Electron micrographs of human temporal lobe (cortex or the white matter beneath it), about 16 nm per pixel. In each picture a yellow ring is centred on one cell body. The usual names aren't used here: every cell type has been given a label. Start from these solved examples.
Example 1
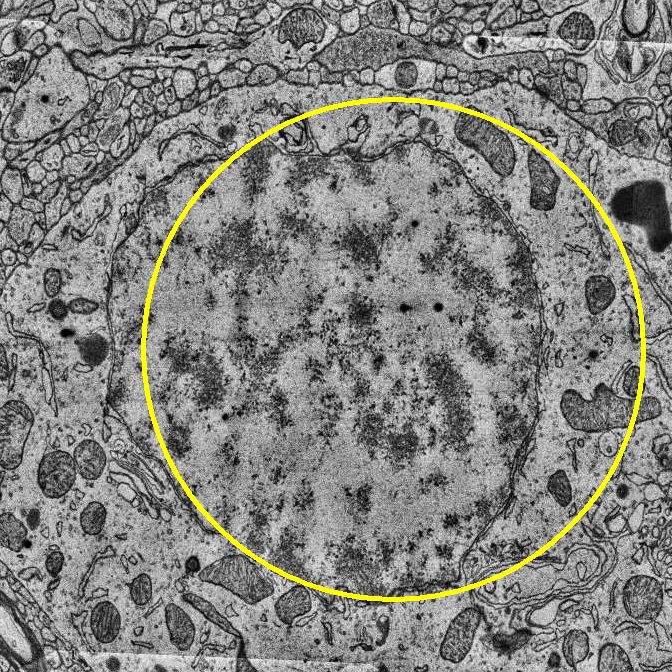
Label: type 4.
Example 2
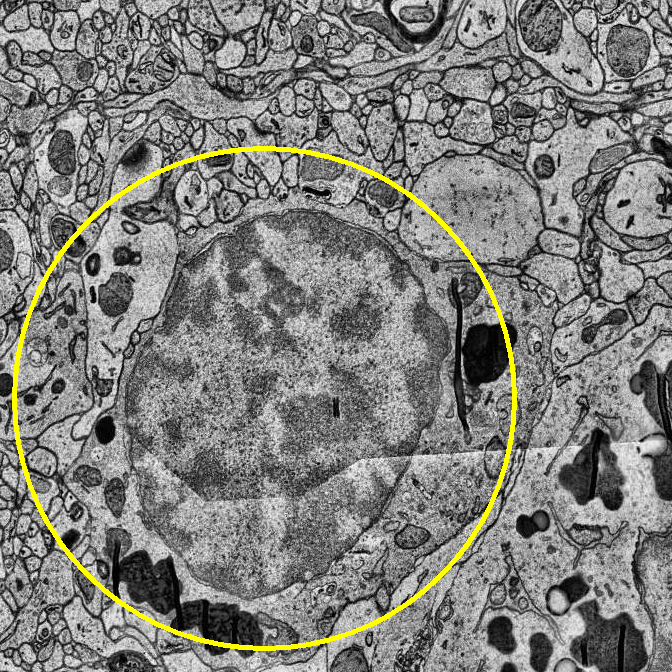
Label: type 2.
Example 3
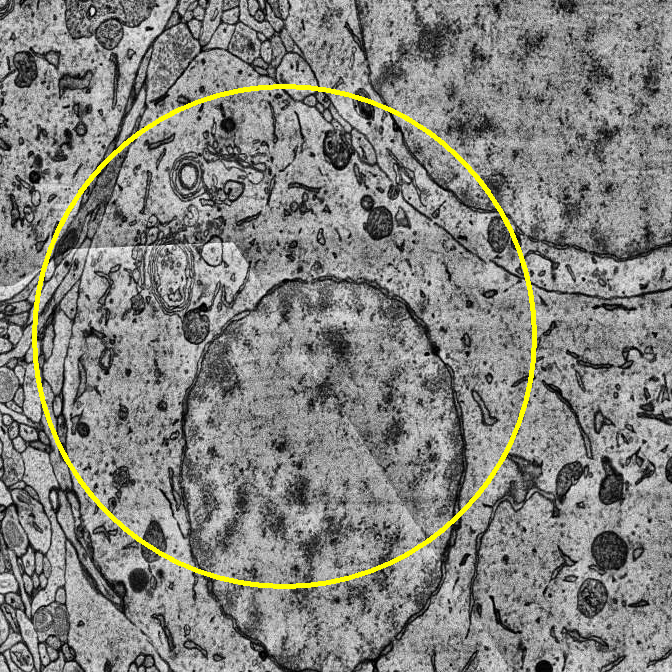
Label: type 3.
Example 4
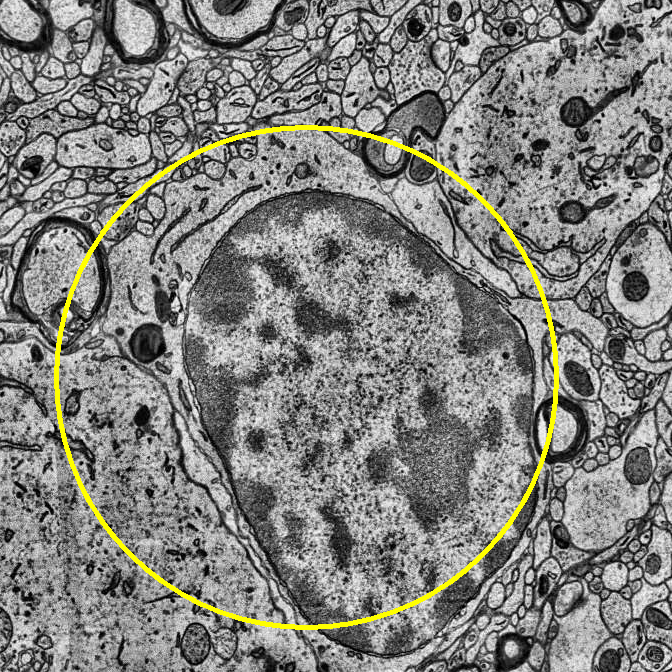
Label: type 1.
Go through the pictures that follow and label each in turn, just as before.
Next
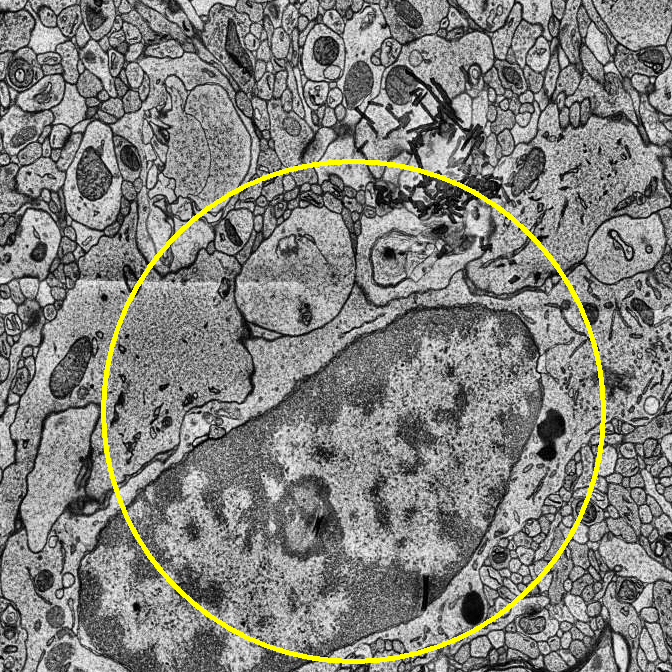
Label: type 1.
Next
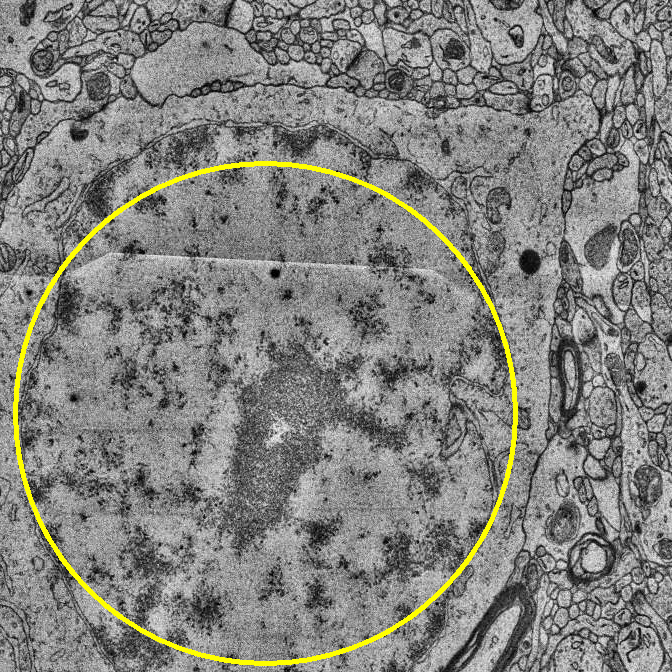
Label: type 4.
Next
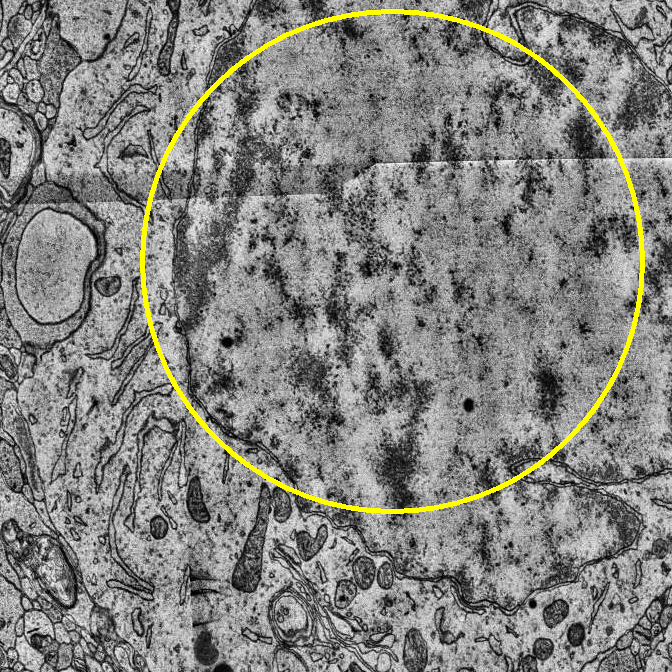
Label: type 4.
